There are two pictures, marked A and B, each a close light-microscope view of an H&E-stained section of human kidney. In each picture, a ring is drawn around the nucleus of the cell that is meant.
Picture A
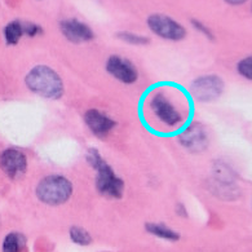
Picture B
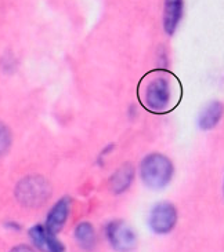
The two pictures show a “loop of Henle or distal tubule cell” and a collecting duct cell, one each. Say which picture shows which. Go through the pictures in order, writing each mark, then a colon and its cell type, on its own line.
A: collecting duct cell
B: loop of Henle or distal tubule cell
